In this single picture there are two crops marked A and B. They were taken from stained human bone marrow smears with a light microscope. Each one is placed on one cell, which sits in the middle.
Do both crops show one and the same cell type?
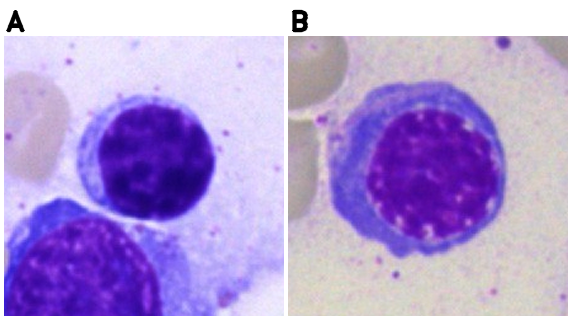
no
